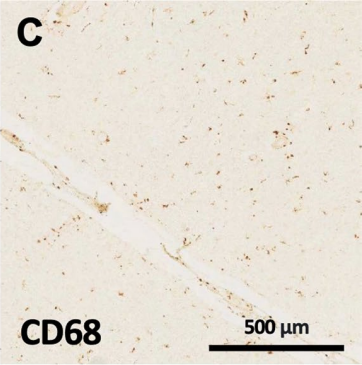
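The stained cells are small, with compact bodies and short, fine processes, and they are spread fairly evenly through the tissue rather than clustered. No layering is evident, and most other cells are barely visible at this magnification.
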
